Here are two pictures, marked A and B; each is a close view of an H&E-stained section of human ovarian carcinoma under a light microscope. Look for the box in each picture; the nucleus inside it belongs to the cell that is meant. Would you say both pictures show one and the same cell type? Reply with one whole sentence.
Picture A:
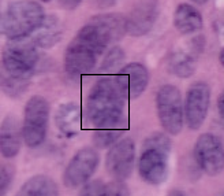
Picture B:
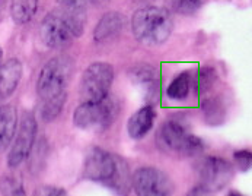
Yes; the cells in both pictures are carcinoma cells.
